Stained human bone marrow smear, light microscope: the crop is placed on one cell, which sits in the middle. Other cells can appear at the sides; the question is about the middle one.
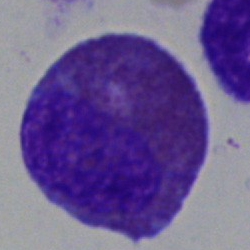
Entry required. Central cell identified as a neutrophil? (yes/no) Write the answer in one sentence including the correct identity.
No, what is centred in the crop is not a neutrophil but an eosinophil.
